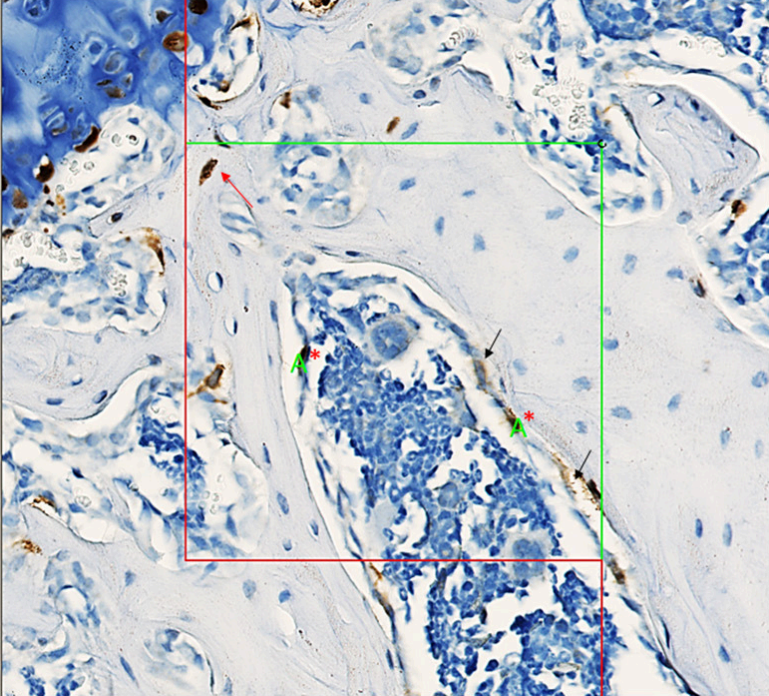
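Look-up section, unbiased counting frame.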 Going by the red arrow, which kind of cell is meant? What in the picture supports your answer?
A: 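The red arrow points to a single small brown-stained cell. The marked cell lies within pale, homogeneous bone matrix rather than in the marrow space.
Conclusion: osteocytes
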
